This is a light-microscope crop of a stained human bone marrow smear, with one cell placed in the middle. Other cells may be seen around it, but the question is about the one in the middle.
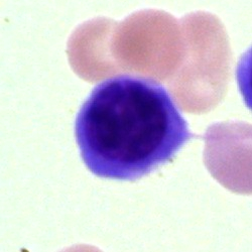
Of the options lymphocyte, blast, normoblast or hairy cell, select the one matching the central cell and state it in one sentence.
Among the cells in view, the one in the middle is a normoblast.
